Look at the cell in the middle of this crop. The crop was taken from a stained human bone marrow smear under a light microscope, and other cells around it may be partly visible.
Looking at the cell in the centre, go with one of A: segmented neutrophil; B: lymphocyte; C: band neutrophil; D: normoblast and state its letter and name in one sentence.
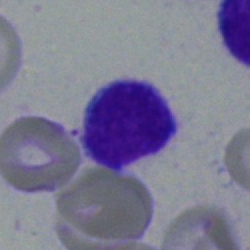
The cell positioned centrally is a lymphocyte, as given in option B, which is correct.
